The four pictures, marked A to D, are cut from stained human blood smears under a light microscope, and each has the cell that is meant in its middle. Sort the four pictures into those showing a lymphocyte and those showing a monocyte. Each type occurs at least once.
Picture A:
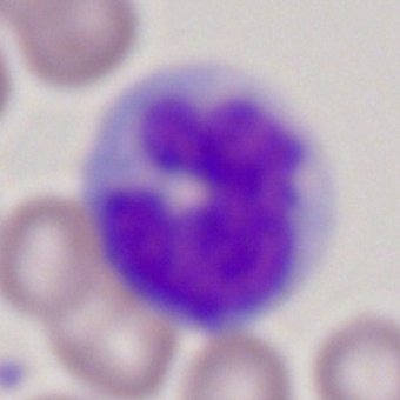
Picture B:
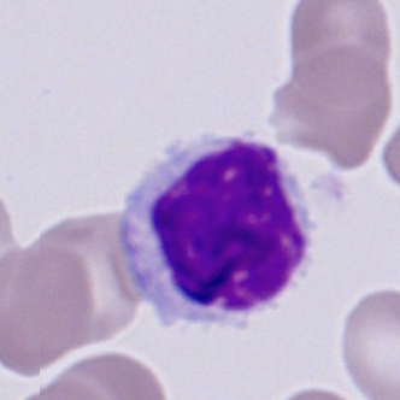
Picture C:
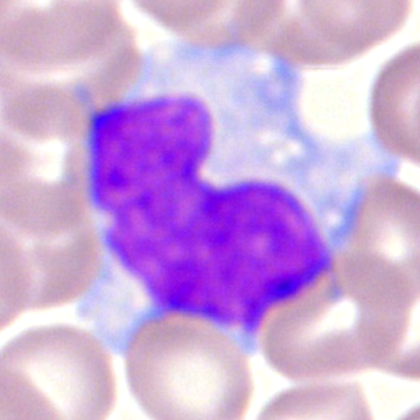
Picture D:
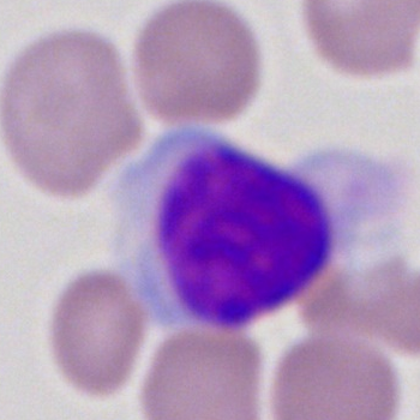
A: monocyte
B: lymphocyte
C: monocyte
D: lymphocyte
